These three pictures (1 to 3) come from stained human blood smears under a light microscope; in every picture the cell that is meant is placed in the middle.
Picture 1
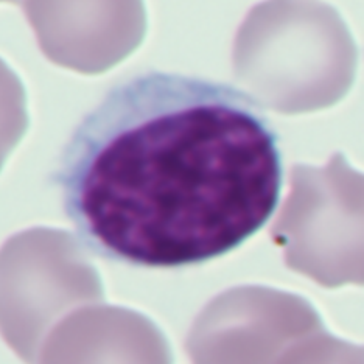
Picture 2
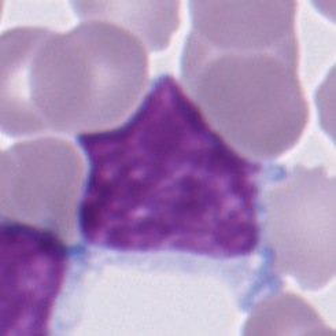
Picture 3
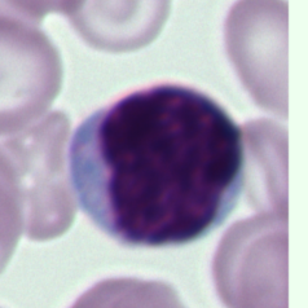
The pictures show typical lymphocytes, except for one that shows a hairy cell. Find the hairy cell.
1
